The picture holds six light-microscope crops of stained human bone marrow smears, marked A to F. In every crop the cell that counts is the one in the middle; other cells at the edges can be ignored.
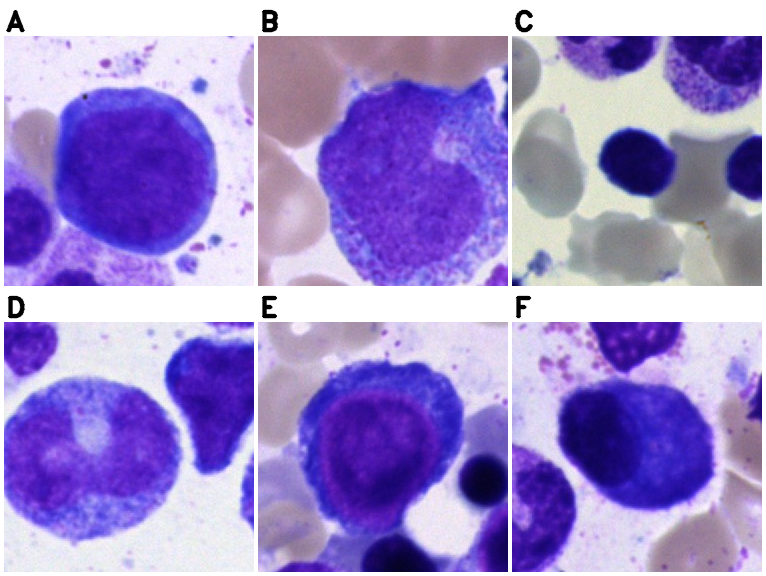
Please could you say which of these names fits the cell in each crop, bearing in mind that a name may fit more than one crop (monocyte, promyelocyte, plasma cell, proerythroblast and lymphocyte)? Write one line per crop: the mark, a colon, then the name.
A: proerythroblast
B: promyelocyte
C: lymphocyte
D: monocyte
E: proerythroblast
F: plasma cell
